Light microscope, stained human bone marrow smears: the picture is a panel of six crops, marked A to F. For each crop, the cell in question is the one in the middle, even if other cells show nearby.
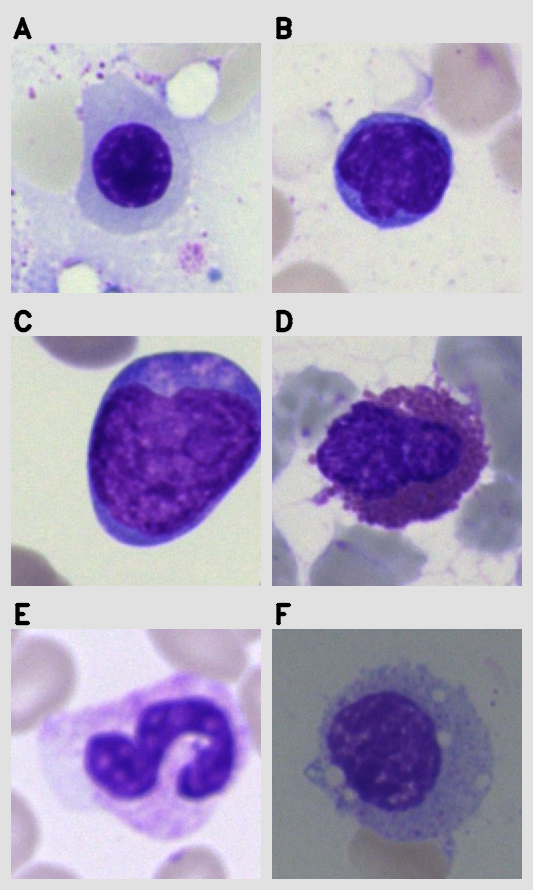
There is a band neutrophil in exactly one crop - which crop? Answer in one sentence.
Crop E is the one depicting a band neutrophil.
